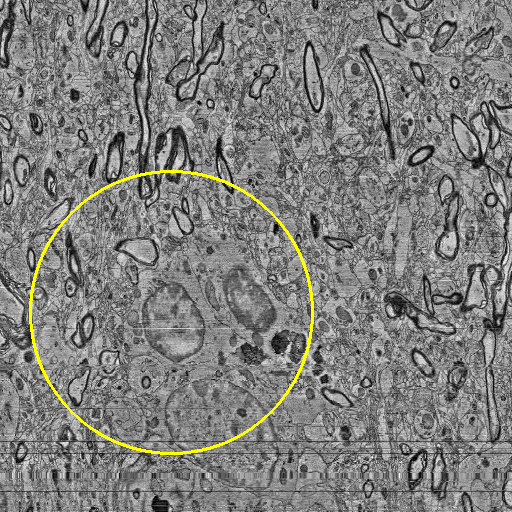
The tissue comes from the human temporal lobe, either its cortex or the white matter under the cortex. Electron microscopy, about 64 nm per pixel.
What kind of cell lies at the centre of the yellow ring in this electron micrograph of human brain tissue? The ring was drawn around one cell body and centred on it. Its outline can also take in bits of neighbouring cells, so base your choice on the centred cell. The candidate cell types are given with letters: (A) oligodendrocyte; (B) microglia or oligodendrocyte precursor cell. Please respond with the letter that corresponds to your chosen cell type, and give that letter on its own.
A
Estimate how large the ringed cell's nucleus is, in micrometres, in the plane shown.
The ringed cell's nucleus is about 5 micrometres long and 4 micrometres wide in this plane.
